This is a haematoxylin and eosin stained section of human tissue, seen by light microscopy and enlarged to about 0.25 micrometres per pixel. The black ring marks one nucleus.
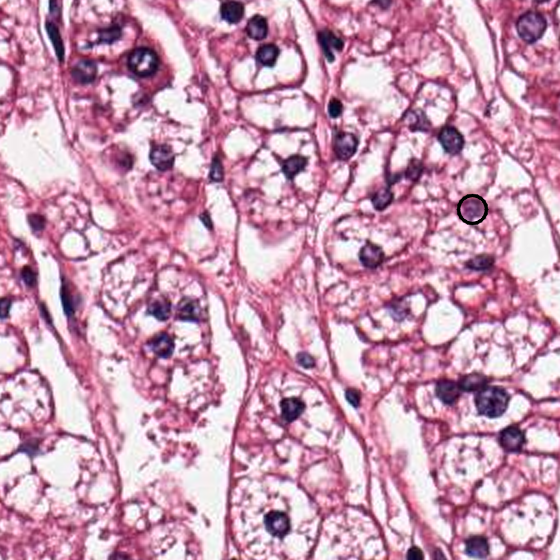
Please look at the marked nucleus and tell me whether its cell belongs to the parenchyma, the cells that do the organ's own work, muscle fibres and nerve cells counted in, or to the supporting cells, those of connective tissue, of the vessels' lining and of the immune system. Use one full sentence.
This marked nucleus is part of a parenchymal cell, namely an adrenal cortical cell.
